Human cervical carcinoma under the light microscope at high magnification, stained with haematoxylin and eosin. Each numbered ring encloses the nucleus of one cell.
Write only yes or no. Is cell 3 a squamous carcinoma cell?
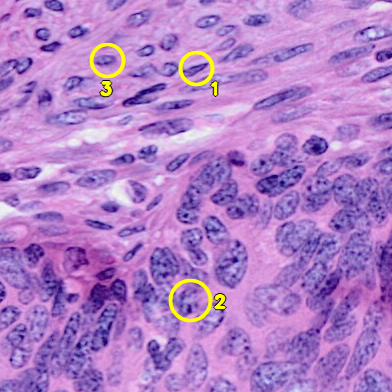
no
